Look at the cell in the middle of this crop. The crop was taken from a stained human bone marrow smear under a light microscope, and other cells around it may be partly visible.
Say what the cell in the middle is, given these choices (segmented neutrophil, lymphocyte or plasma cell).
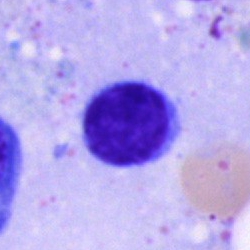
lymphocyte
